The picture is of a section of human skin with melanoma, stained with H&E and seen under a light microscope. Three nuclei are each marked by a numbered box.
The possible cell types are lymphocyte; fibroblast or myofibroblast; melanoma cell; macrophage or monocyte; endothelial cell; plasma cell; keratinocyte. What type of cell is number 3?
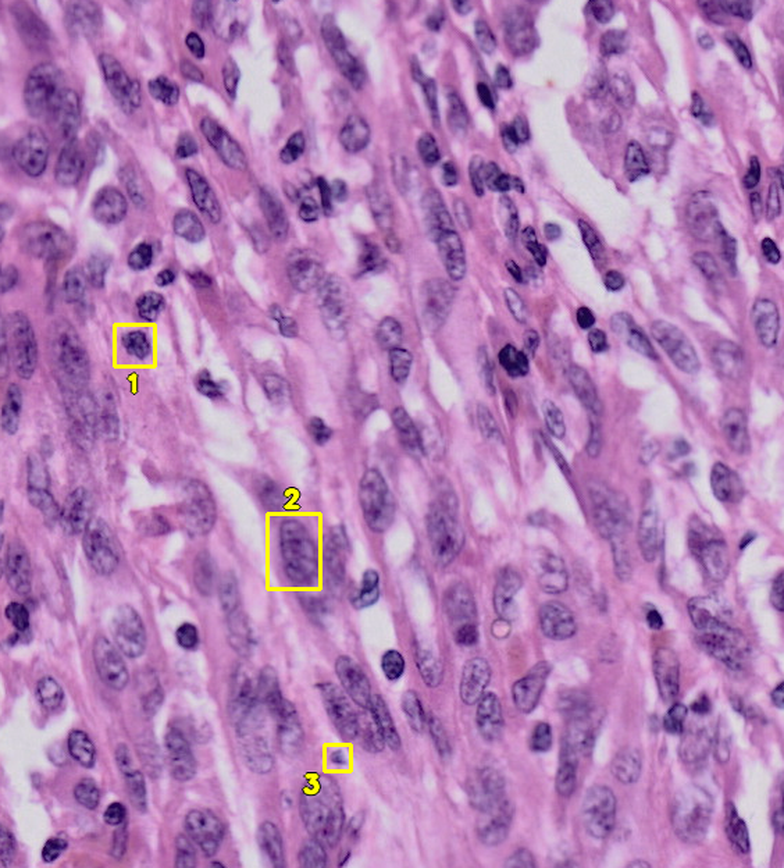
lymphocyte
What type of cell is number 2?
melanoma cell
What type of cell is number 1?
lymphocyte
